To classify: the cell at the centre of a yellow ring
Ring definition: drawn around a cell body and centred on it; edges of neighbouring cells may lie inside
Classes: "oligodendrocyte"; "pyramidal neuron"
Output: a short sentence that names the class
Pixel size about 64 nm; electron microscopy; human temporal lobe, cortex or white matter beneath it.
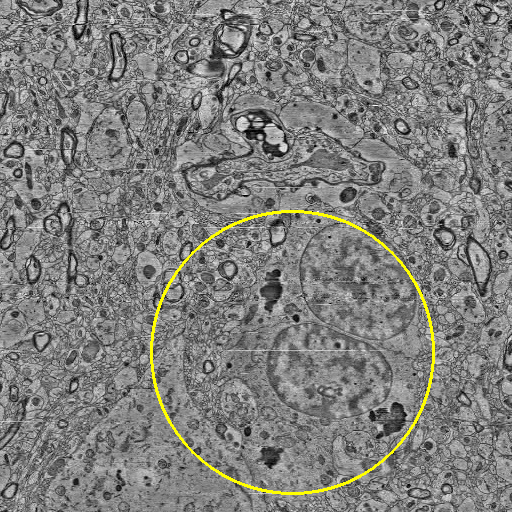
The ringed cell is an oligodendrocyte.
